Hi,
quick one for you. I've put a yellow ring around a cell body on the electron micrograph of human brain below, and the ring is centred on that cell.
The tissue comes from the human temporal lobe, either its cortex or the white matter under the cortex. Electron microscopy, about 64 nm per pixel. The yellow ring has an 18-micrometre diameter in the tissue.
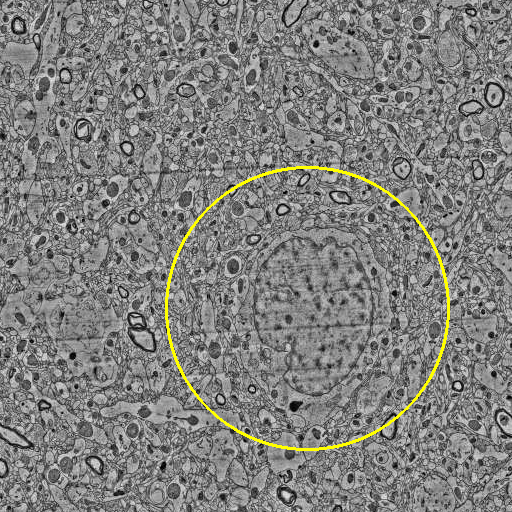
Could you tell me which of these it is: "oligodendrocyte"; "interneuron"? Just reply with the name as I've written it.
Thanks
interneuron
